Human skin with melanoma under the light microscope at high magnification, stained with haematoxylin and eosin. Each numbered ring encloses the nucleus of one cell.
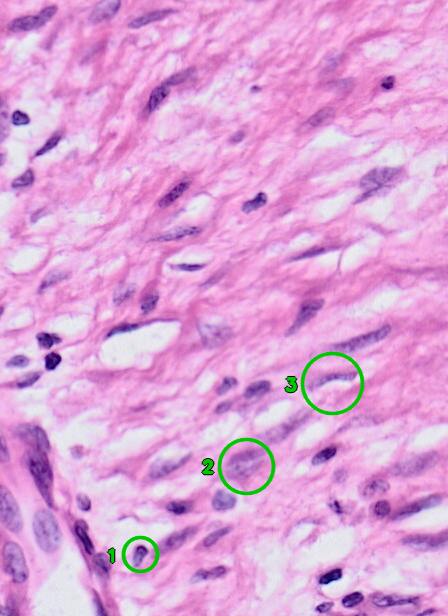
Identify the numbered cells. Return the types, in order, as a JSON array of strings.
["lymphocyte", "fibroblast or myofibroblast", "fibroblast or myofibroblast"]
